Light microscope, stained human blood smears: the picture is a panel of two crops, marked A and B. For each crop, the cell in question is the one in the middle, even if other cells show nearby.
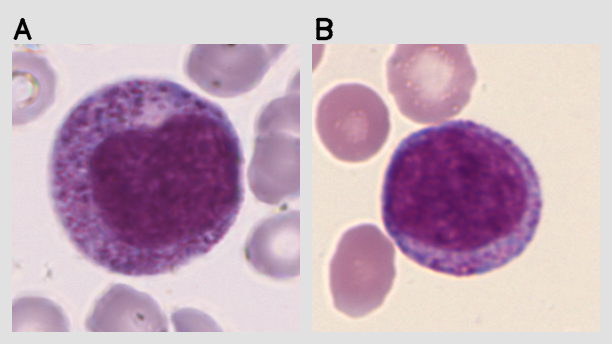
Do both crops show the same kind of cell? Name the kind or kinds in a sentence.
Yes, both crops in the pair show promyelocytes.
